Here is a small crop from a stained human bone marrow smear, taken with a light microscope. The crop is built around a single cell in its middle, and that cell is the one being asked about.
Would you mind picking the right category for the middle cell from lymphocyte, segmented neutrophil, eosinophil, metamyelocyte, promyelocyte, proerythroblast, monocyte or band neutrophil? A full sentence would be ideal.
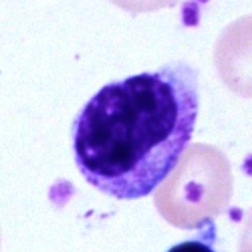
The cell positioned in the middle of the field is a metamyelocyte.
